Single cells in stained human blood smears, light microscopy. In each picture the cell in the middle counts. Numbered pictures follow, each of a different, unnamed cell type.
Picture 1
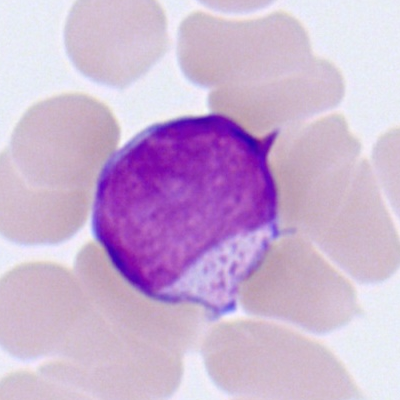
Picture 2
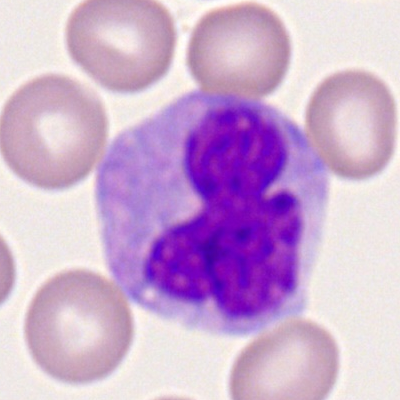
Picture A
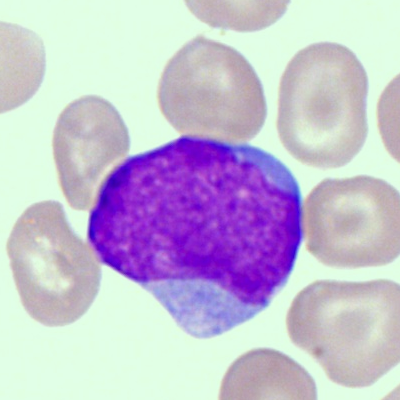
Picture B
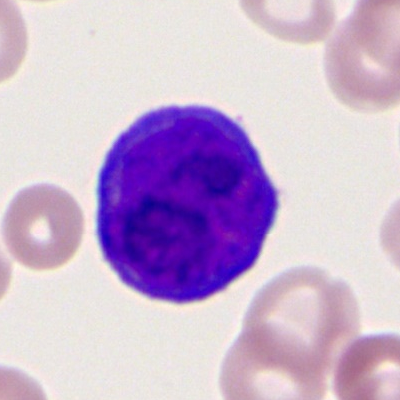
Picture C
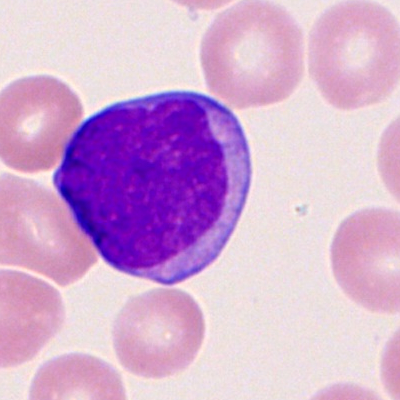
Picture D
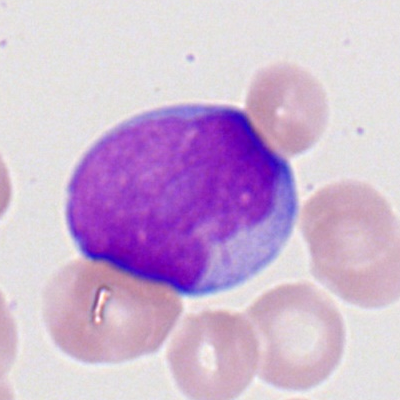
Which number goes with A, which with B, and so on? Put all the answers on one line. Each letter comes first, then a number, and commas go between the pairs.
A 1, B 1, C 1, D 1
